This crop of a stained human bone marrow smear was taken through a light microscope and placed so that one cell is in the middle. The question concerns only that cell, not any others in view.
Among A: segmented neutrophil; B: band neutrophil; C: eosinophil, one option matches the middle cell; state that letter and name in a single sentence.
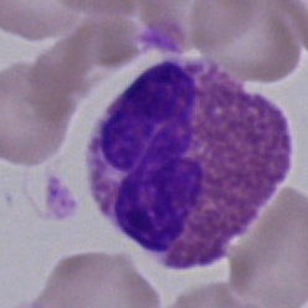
The expected answer is option C, the central cell being an eosinophil.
